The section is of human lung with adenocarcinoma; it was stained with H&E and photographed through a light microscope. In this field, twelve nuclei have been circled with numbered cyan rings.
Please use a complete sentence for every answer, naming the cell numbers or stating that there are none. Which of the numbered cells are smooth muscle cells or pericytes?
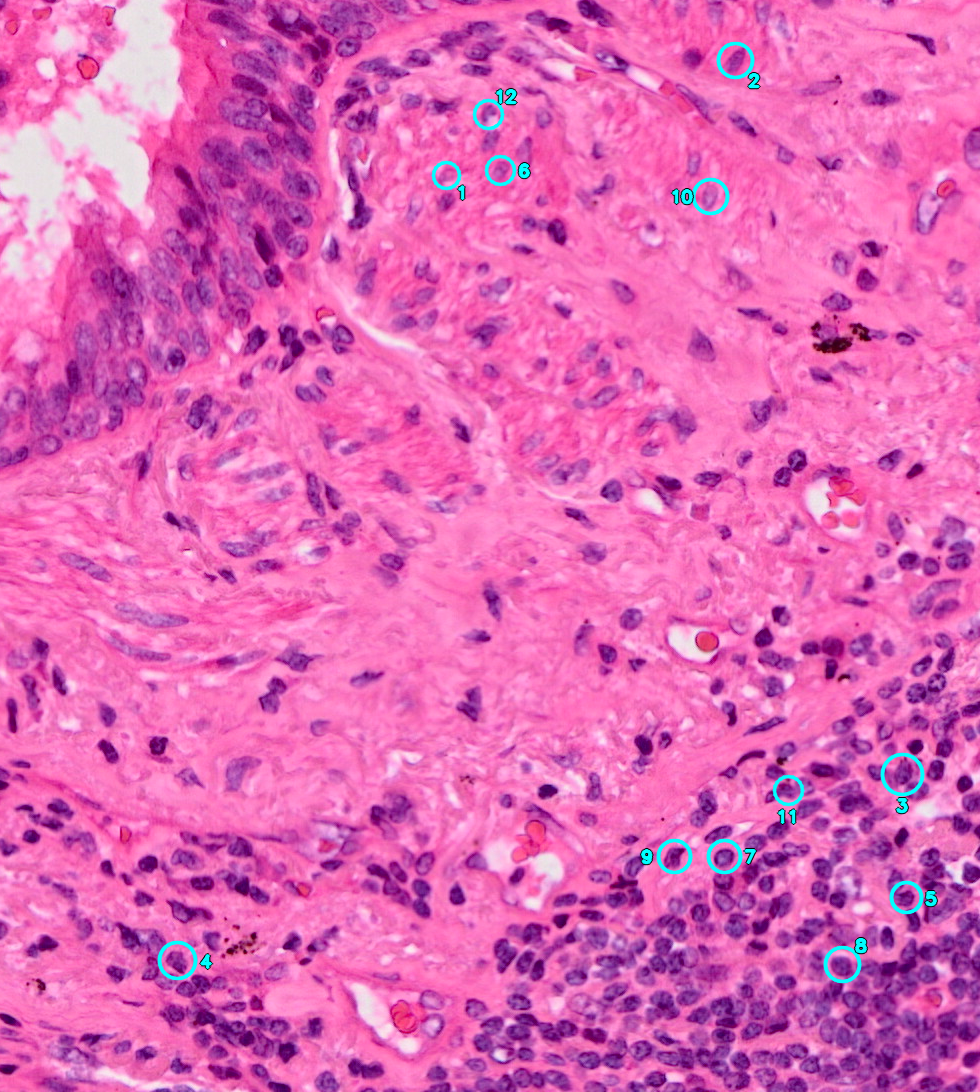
As for the cells numbered 1, 2, 6, 10 and 12, they are smooth muscle cells or pericytes.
